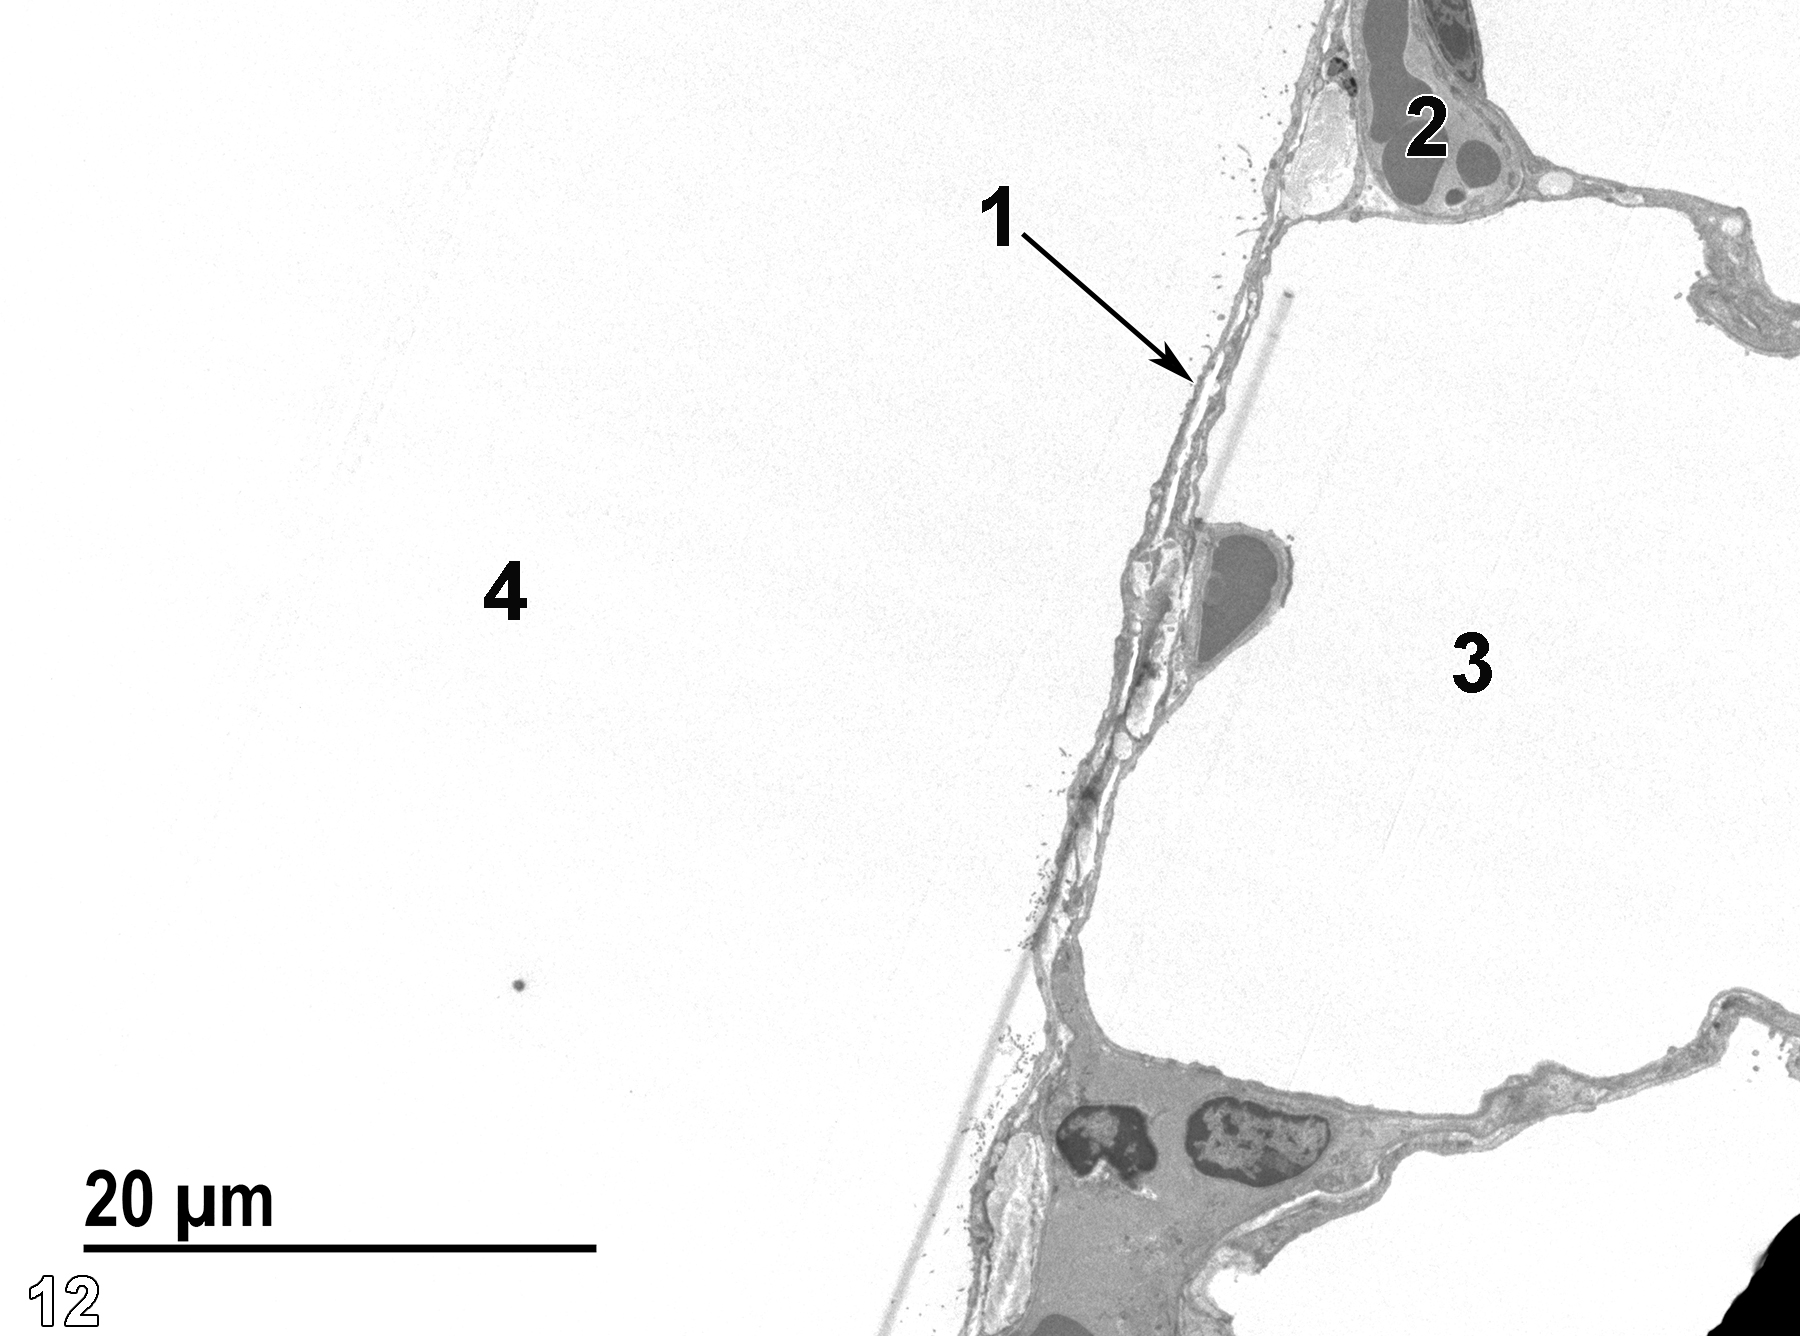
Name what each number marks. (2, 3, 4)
2 - capillary
3 - alveolus
4 - pleural cavity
